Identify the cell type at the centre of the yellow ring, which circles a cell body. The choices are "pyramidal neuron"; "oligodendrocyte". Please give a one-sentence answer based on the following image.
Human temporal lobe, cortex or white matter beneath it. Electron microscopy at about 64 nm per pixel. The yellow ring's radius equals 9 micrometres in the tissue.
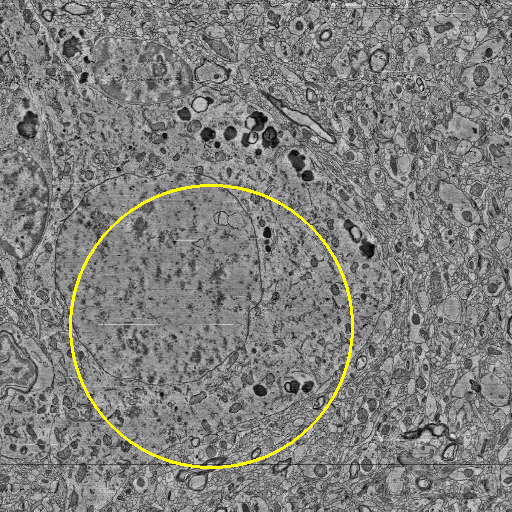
The cell marked by the ring is a pyramidal neuron.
